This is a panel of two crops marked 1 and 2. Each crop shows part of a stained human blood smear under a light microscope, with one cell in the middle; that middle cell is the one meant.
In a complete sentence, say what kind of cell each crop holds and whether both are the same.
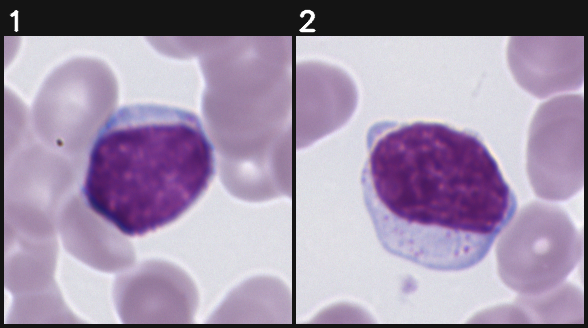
Yes, both crops show large granular lymphocytes in their central position.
